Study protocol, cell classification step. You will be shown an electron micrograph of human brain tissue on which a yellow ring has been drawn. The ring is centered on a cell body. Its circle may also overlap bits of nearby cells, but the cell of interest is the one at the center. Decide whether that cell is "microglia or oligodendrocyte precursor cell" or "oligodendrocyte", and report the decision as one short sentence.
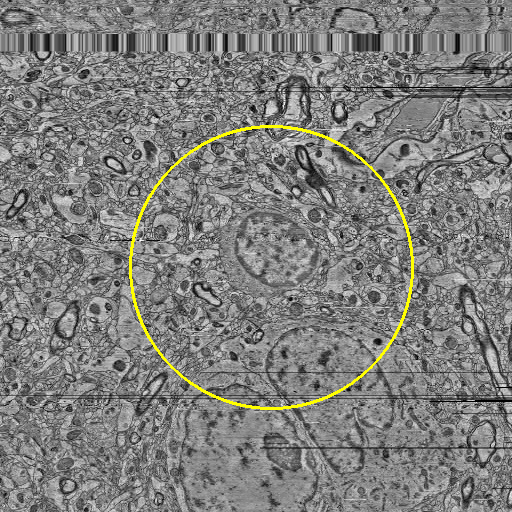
The marked cell is an oligodendrocyte.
